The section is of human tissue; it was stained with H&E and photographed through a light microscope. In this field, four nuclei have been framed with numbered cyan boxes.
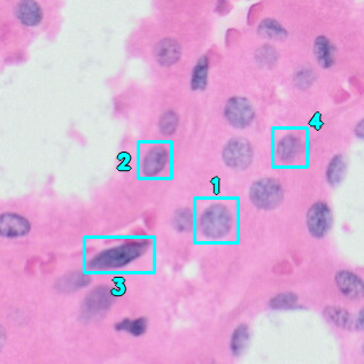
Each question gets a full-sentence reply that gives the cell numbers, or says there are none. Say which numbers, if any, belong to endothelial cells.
Cell 3 is the only one of the numbered cells that is an endothelial cell.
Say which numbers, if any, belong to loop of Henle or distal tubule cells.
In this section, the cells labelled 1 and 4 are loop of Henle or distal tubule cells.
